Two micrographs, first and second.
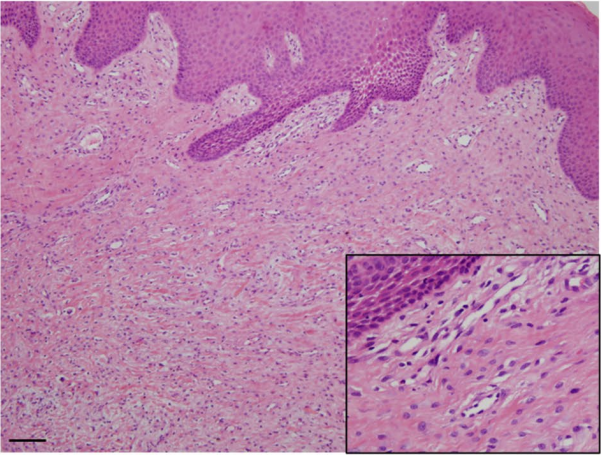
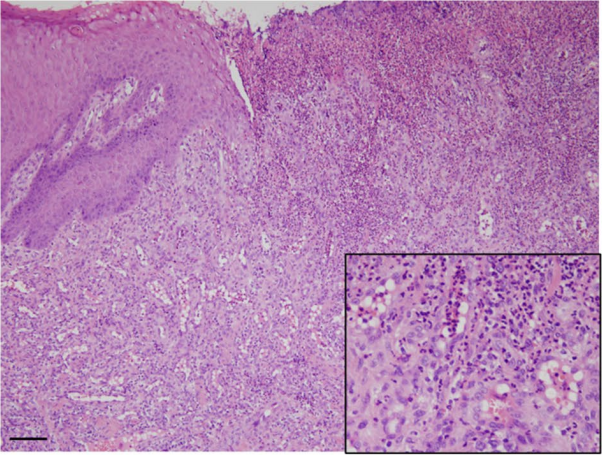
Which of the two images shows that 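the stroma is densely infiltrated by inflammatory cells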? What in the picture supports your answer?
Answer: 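The second image. Second image: the stroma is crowded with small round dark nuclei. First image: the stroma is pink fibrous tissue with only scattered nuclei.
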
